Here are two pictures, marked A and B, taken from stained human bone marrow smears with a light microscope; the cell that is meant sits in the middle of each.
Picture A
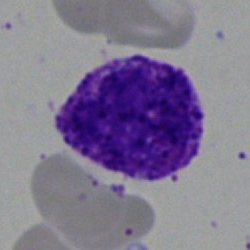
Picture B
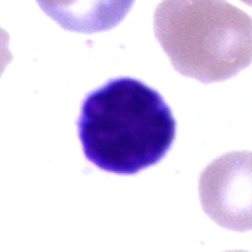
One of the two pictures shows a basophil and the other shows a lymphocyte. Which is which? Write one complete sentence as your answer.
Picture B shows a lymphocyte, while picture A shows a basophil.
